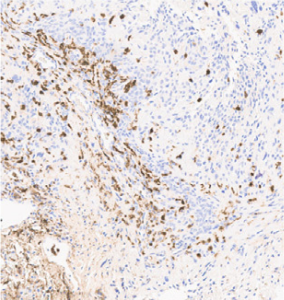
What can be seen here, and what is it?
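On the left and lower left the brown cells are packed closely, with elongated bodies and thin processes that interweave into a network. Toward the upper right the tumor cells with blue oval nuclei dominate, and only scattered single brown cells lie among them.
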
